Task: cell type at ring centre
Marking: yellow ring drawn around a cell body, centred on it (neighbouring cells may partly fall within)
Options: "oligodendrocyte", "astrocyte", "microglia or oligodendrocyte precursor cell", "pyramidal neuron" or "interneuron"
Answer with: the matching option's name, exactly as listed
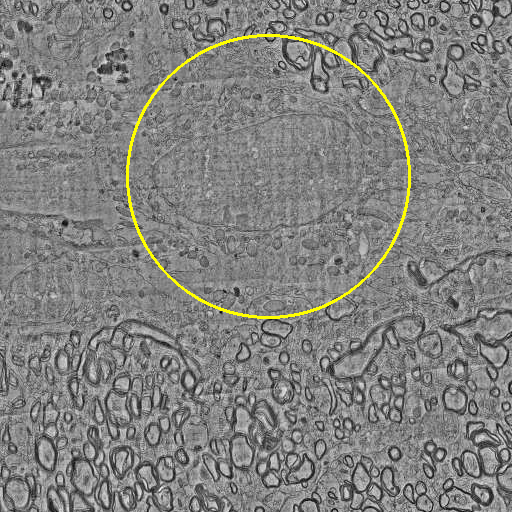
astrocyte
